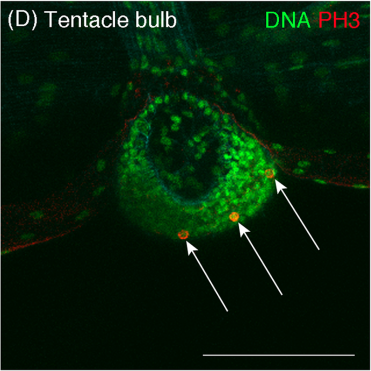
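The bulb is a rounded swelling packed densely with small green nuclei, thickest on its lower side and surrounding a darker central lumen. Three small round nuclei stand out in red-orange near the outer, lower margin of the bulb, each pointed to by an arrow. Above the bulb, more sparsely spaced green nuclei of the thin surrounding tissue are seen, and a faint red outline traces the edge of the structure.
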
